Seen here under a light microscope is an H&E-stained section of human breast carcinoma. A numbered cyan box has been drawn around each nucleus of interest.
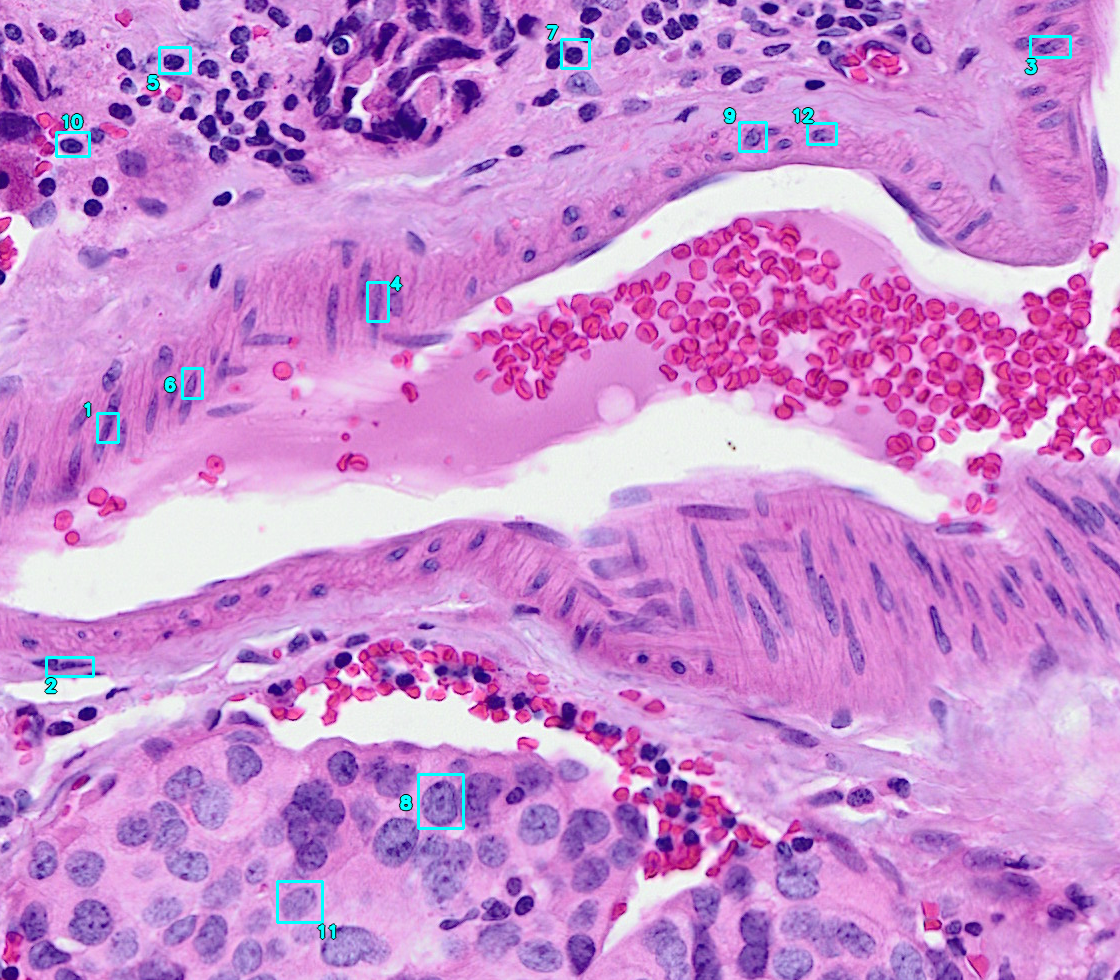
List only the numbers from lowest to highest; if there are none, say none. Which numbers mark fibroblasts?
2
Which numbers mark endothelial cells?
1, 3, 4, 6, 9, 12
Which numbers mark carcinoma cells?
8, 11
